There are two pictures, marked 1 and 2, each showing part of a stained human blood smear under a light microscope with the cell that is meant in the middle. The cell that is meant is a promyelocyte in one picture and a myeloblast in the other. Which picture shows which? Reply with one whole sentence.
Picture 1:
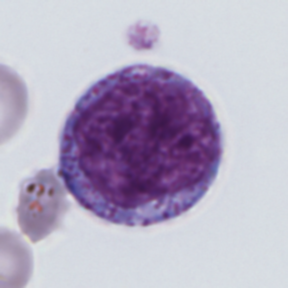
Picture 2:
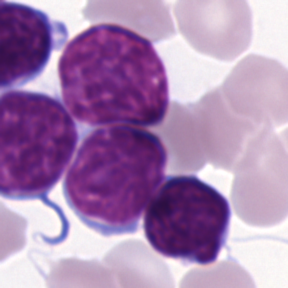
Picture 1 is of a promyelocyte, and picture 2 is of a myeloblast.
